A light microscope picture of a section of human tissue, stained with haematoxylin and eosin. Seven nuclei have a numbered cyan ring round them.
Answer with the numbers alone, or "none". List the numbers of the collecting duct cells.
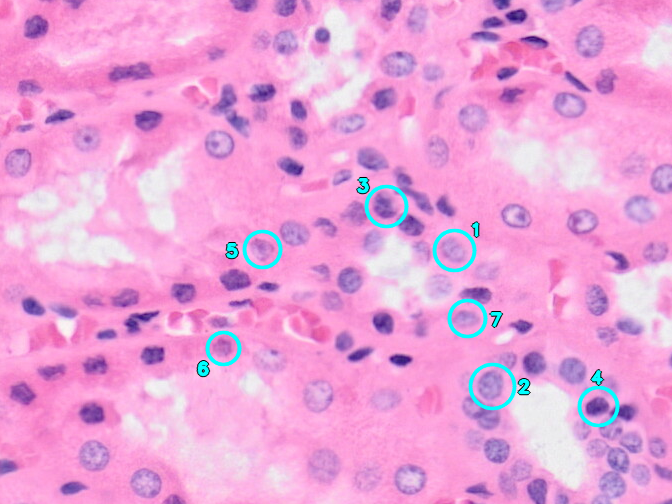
2, 4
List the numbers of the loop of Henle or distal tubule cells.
1, 3, 7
